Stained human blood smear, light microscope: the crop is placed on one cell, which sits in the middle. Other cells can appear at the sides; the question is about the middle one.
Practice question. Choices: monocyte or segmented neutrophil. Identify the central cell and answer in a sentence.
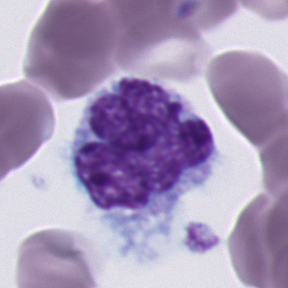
In this smear crop, the middle cell is a monocyte.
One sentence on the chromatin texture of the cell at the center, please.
Its nuclear chromatin is gathered into coarse clumps.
